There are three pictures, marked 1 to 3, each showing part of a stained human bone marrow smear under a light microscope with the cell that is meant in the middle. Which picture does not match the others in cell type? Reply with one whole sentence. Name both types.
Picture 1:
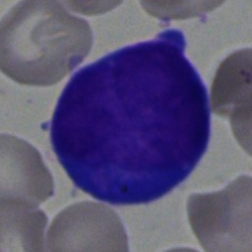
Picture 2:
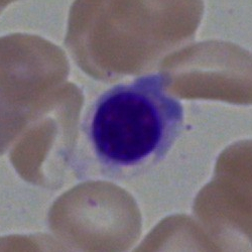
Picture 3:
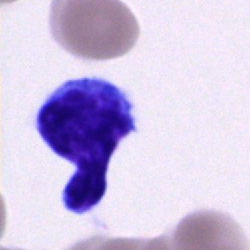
The others show blasts, but picture 2 shows an erythroblast.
